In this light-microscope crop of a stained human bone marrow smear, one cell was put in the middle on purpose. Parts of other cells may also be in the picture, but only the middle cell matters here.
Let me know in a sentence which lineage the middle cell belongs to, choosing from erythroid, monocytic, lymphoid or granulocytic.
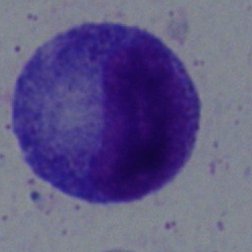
With respect to lineage, the middle cell falls within the granulocytic lineage.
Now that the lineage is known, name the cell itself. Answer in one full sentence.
The cell at the heart of this crop is a promyelocyte.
